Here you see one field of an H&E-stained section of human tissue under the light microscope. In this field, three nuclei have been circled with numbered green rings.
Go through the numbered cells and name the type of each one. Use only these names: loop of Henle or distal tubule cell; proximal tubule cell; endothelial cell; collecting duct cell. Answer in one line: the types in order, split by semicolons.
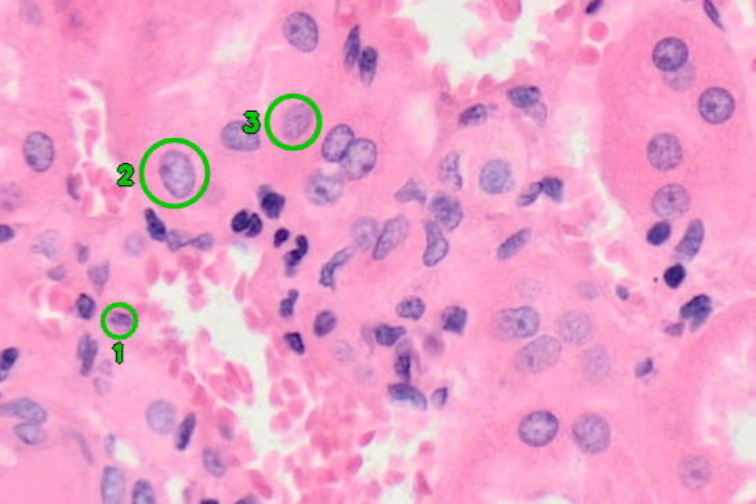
endothelial cell; proximal tubule cell; proximal tubule cell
